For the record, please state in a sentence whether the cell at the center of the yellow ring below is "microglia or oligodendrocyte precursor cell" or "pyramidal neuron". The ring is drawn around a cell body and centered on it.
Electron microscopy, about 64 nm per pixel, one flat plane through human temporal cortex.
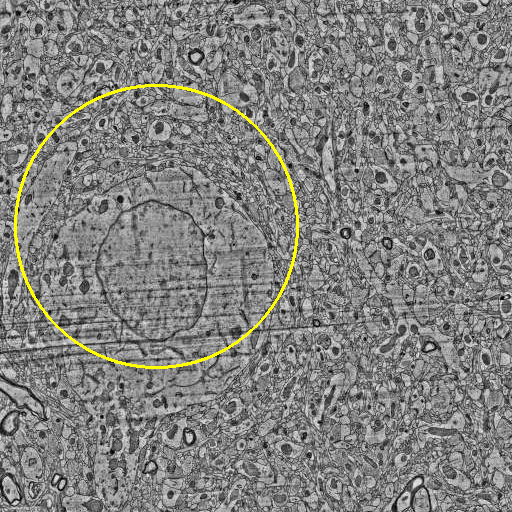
The cell at the ring's center is a pyramidal neuron.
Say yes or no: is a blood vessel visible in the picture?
No, there is no blood vessel.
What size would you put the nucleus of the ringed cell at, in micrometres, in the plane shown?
In this plane the nucleus spans approximately 9 by 7 micrometers.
